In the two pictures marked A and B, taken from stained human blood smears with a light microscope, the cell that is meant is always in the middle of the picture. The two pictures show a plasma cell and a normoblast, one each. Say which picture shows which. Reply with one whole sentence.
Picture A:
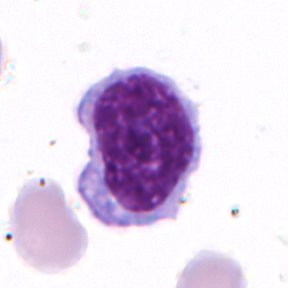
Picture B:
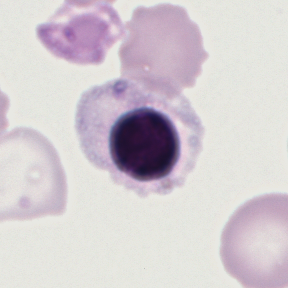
Picture B shows a normoblast, while picture A shows a plasma cell.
